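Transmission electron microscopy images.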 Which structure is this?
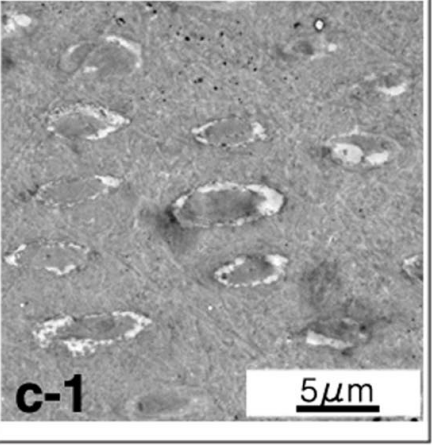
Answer: Dentinal tubules.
